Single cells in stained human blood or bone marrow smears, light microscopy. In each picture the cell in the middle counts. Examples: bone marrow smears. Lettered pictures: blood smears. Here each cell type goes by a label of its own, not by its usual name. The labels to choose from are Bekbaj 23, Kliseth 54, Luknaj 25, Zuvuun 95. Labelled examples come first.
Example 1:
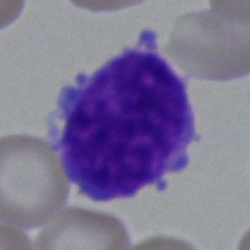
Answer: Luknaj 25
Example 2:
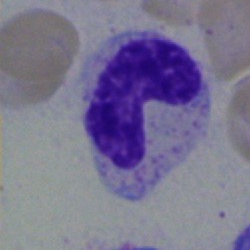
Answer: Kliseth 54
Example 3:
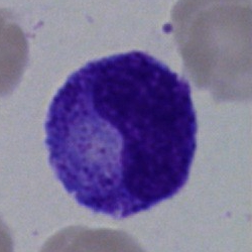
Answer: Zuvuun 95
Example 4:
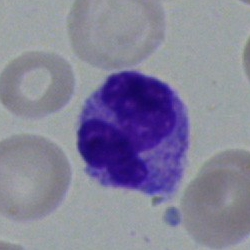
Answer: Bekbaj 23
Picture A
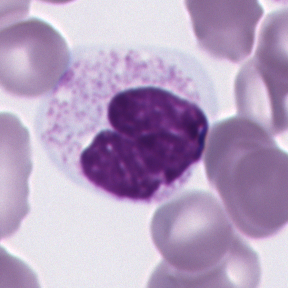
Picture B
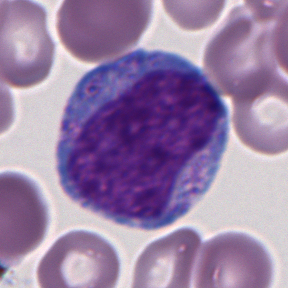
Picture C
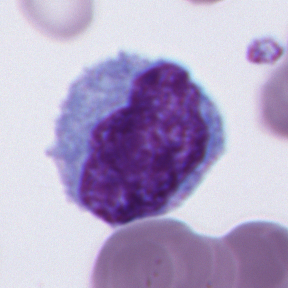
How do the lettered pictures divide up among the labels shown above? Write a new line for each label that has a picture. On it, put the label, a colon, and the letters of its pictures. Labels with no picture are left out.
Bekbaj 23: C
Kliseth 54: A
Zuvuun 95: B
